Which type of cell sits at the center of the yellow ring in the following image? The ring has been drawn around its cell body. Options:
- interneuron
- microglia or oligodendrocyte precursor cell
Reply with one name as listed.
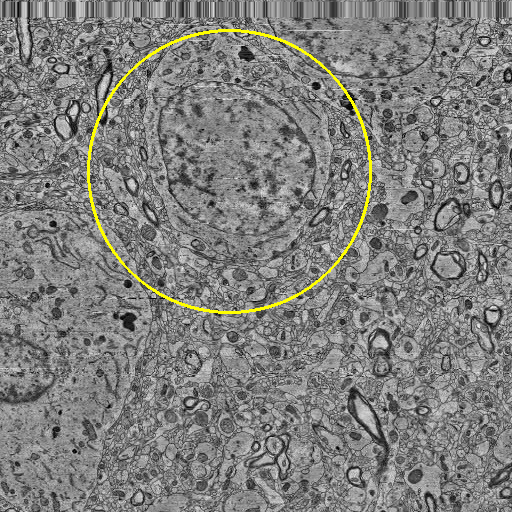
interneuron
